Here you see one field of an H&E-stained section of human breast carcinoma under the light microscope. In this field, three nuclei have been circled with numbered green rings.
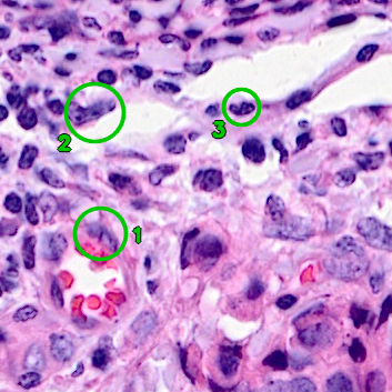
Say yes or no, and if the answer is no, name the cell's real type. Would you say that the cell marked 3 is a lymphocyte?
Yes.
